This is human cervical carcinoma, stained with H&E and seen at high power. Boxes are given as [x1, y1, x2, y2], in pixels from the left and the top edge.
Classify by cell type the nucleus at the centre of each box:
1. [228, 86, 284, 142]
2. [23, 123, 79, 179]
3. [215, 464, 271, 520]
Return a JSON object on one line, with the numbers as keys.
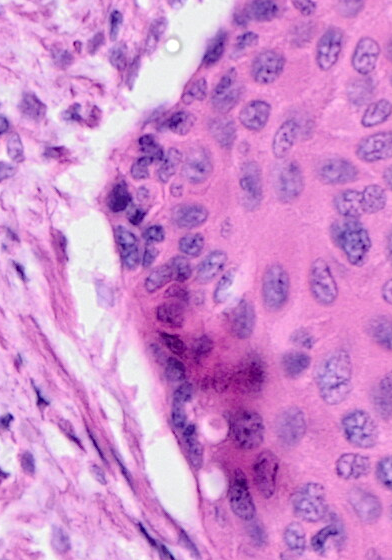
{"1": "squamous carcinoma cell", "2": "fibroblast", "3": "squamous carcinoma cell"}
